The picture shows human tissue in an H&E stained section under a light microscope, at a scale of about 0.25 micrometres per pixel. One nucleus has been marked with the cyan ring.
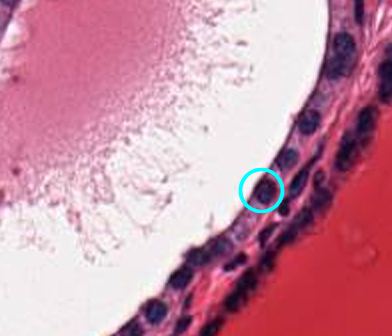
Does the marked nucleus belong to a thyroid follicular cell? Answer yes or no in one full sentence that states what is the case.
Yes, a thyroid follicular cell holds the marked nucleus.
